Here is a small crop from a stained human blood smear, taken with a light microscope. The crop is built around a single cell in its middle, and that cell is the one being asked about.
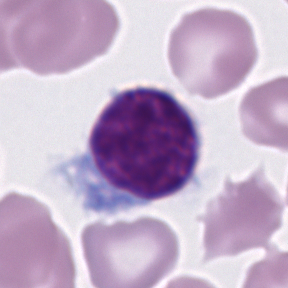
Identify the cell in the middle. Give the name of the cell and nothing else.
hairy cell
